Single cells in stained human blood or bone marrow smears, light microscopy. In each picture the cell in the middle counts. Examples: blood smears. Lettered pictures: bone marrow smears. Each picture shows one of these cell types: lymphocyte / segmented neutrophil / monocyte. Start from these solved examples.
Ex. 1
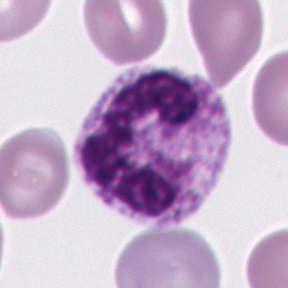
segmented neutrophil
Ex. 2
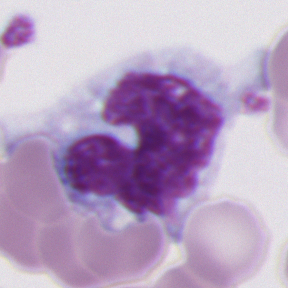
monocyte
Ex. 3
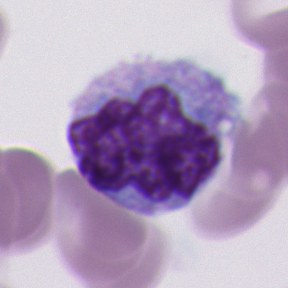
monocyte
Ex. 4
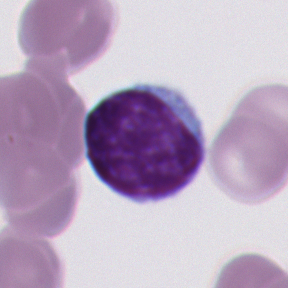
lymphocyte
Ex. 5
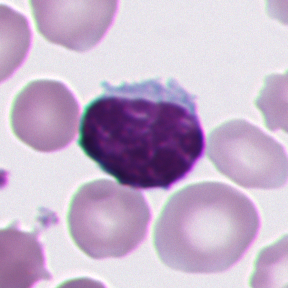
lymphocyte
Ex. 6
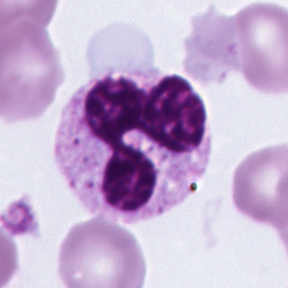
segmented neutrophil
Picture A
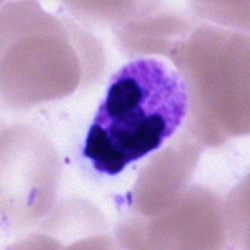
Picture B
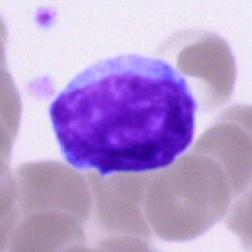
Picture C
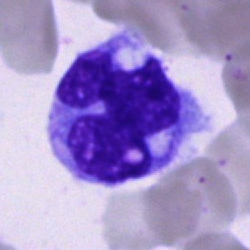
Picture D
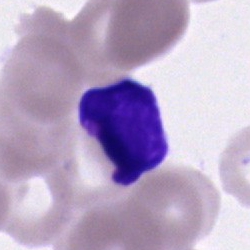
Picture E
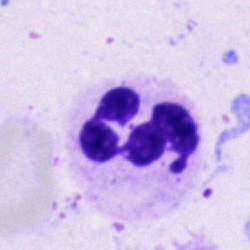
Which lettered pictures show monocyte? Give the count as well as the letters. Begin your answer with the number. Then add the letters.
1, namely C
